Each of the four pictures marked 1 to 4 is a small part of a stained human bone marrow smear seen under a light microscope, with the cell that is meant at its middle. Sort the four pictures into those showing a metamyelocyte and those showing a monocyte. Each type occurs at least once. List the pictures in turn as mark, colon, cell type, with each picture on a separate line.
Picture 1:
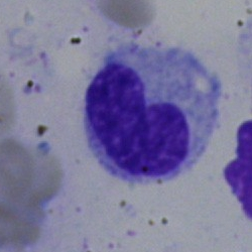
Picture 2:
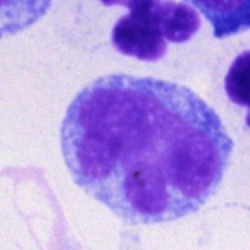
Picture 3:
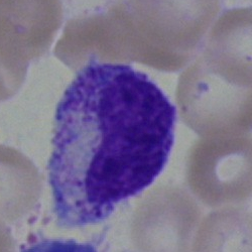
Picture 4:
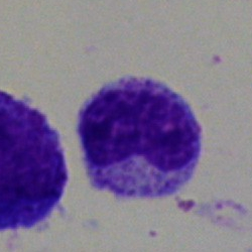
1: metamyelocyte
2: monocyte
3: metamyelocyte
4: metamyelocyte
